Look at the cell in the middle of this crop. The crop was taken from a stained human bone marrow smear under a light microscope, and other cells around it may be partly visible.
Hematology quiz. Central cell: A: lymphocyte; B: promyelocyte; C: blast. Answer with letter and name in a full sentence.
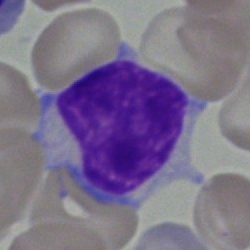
That cell in the center is a lymphocyte, hence option A.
